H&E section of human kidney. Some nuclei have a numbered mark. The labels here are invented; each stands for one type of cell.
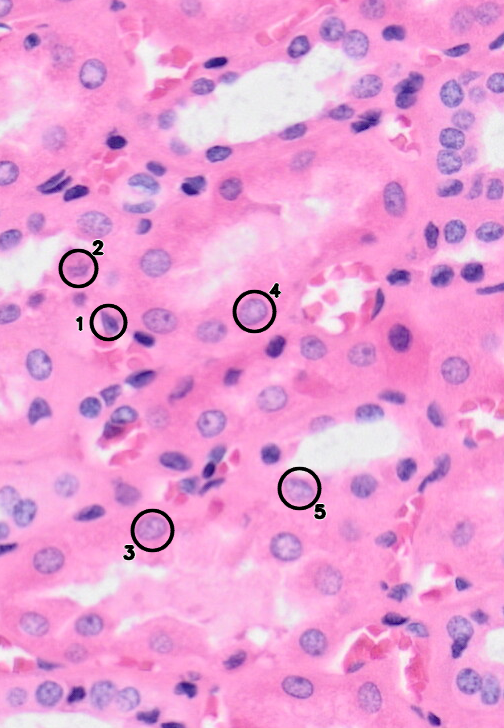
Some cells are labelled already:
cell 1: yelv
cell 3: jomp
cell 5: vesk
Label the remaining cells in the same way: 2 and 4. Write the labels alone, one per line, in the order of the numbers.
vesk
jomp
